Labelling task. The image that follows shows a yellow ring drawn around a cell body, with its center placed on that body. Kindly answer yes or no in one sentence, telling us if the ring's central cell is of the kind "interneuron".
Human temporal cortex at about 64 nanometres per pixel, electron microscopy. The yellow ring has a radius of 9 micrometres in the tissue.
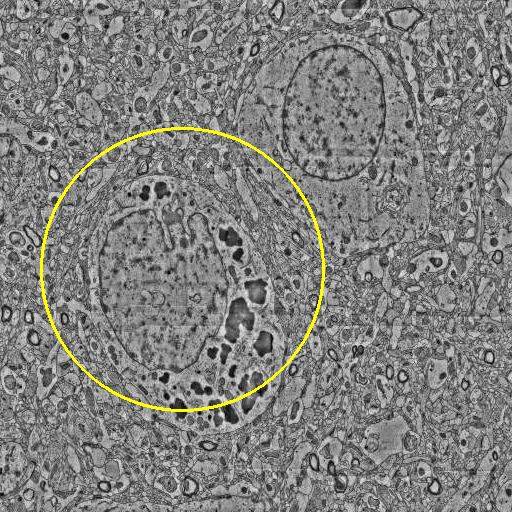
Yes, in this image the cell at the ring's center is of that kind.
